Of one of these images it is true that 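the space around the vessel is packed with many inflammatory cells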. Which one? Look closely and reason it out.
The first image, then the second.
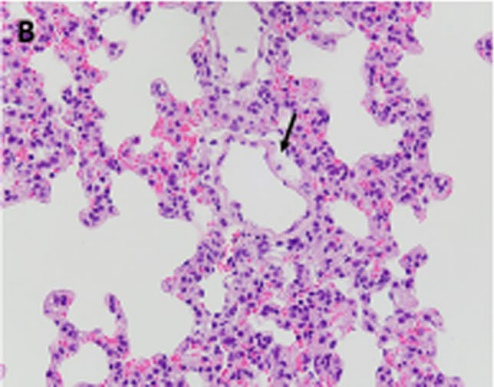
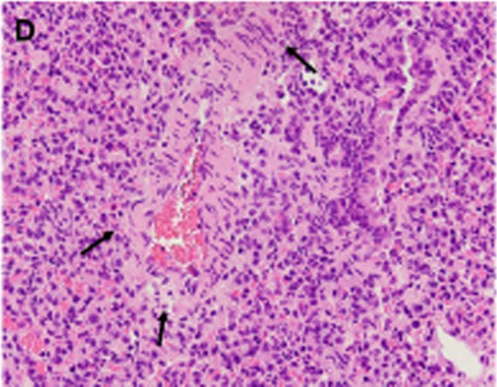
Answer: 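Second image: a widened space around a vessel is crowded with many small cells with dark nuclei. First image: the space beside the vessel is pale and nearly empty, with open alveoli around it. So: the second image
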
